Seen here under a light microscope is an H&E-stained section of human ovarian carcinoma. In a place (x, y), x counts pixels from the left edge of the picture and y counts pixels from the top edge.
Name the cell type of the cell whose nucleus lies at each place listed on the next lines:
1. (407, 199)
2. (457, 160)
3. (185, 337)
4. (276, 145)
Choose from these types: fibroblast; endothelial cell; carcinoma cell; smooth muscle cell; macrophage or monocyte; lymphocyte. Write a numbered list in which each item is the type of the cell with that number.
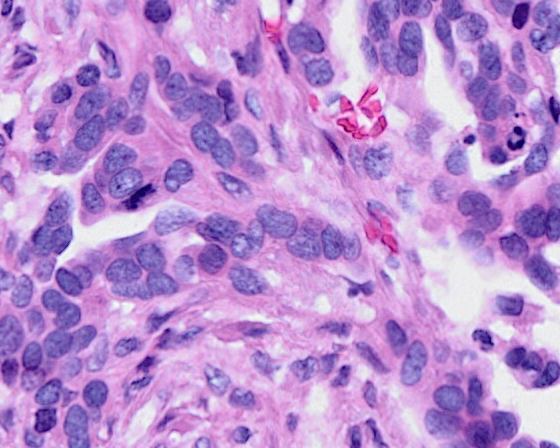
1. fibroblast
2. carcinoma cell
3. fibroblast
4. fibroblast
